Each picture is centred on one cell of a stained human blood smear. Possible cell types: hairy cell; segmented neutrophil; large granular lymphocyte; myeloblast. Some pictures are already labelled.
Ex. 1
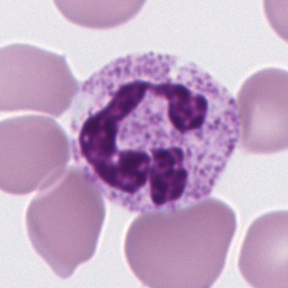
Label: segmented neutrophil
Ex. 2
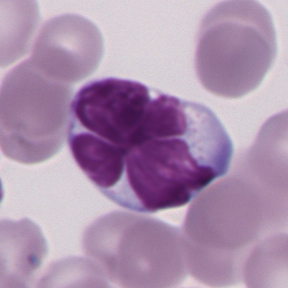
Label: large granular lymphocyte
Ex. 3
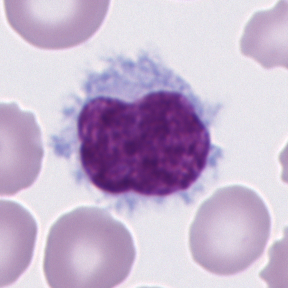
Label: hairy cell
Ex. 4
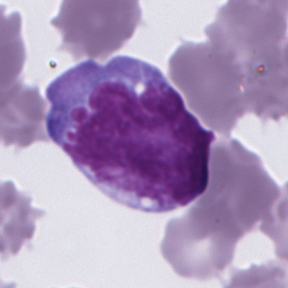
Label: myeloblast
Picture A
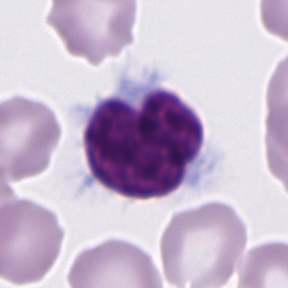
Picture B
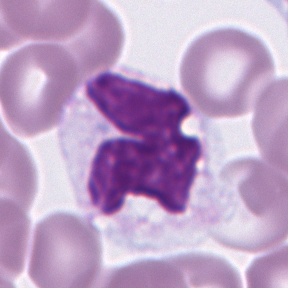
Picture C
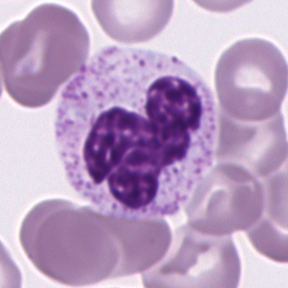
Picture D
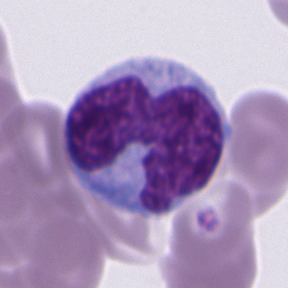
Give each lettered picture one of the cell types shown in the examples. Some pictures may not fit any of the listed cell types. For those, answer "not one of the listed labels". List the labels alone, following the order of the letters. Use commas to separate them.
hairy cell, segmented neutrophil, segmented neutrophil, not one of the listed labels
